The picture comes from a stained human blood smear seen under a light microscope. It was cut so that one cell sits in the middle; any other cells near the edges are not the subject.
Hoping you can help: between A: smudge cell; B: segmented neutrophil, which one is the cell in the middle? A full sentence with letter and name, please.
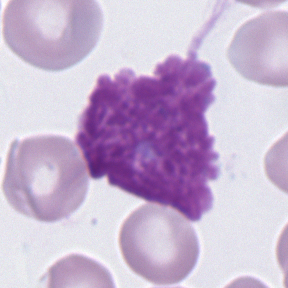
The best answer is option A, since the cell in the middle is a smudge cell.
